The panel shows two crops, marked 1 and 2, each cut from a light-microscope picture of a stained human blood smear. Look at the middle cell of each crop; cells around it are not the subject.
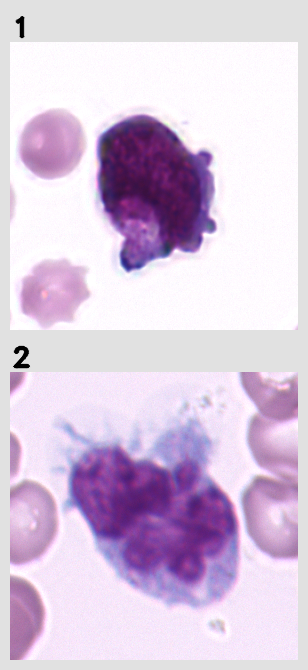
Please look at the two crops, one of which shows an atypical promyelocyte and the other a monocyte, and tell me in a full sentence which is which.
Crop 1 is to be labelled an atypical promyelocyte, and crop 2 a monocyte.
